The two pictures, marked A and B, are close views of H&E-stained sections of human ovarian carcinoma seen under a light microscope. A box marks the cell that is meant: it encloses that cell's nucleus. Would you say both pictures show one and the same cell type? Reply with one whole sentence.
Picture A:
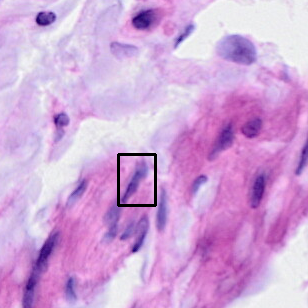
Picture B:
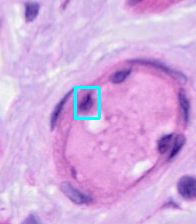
No. Picture A shows a smooth muscle cell, but picture B shows an endothelial cell.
